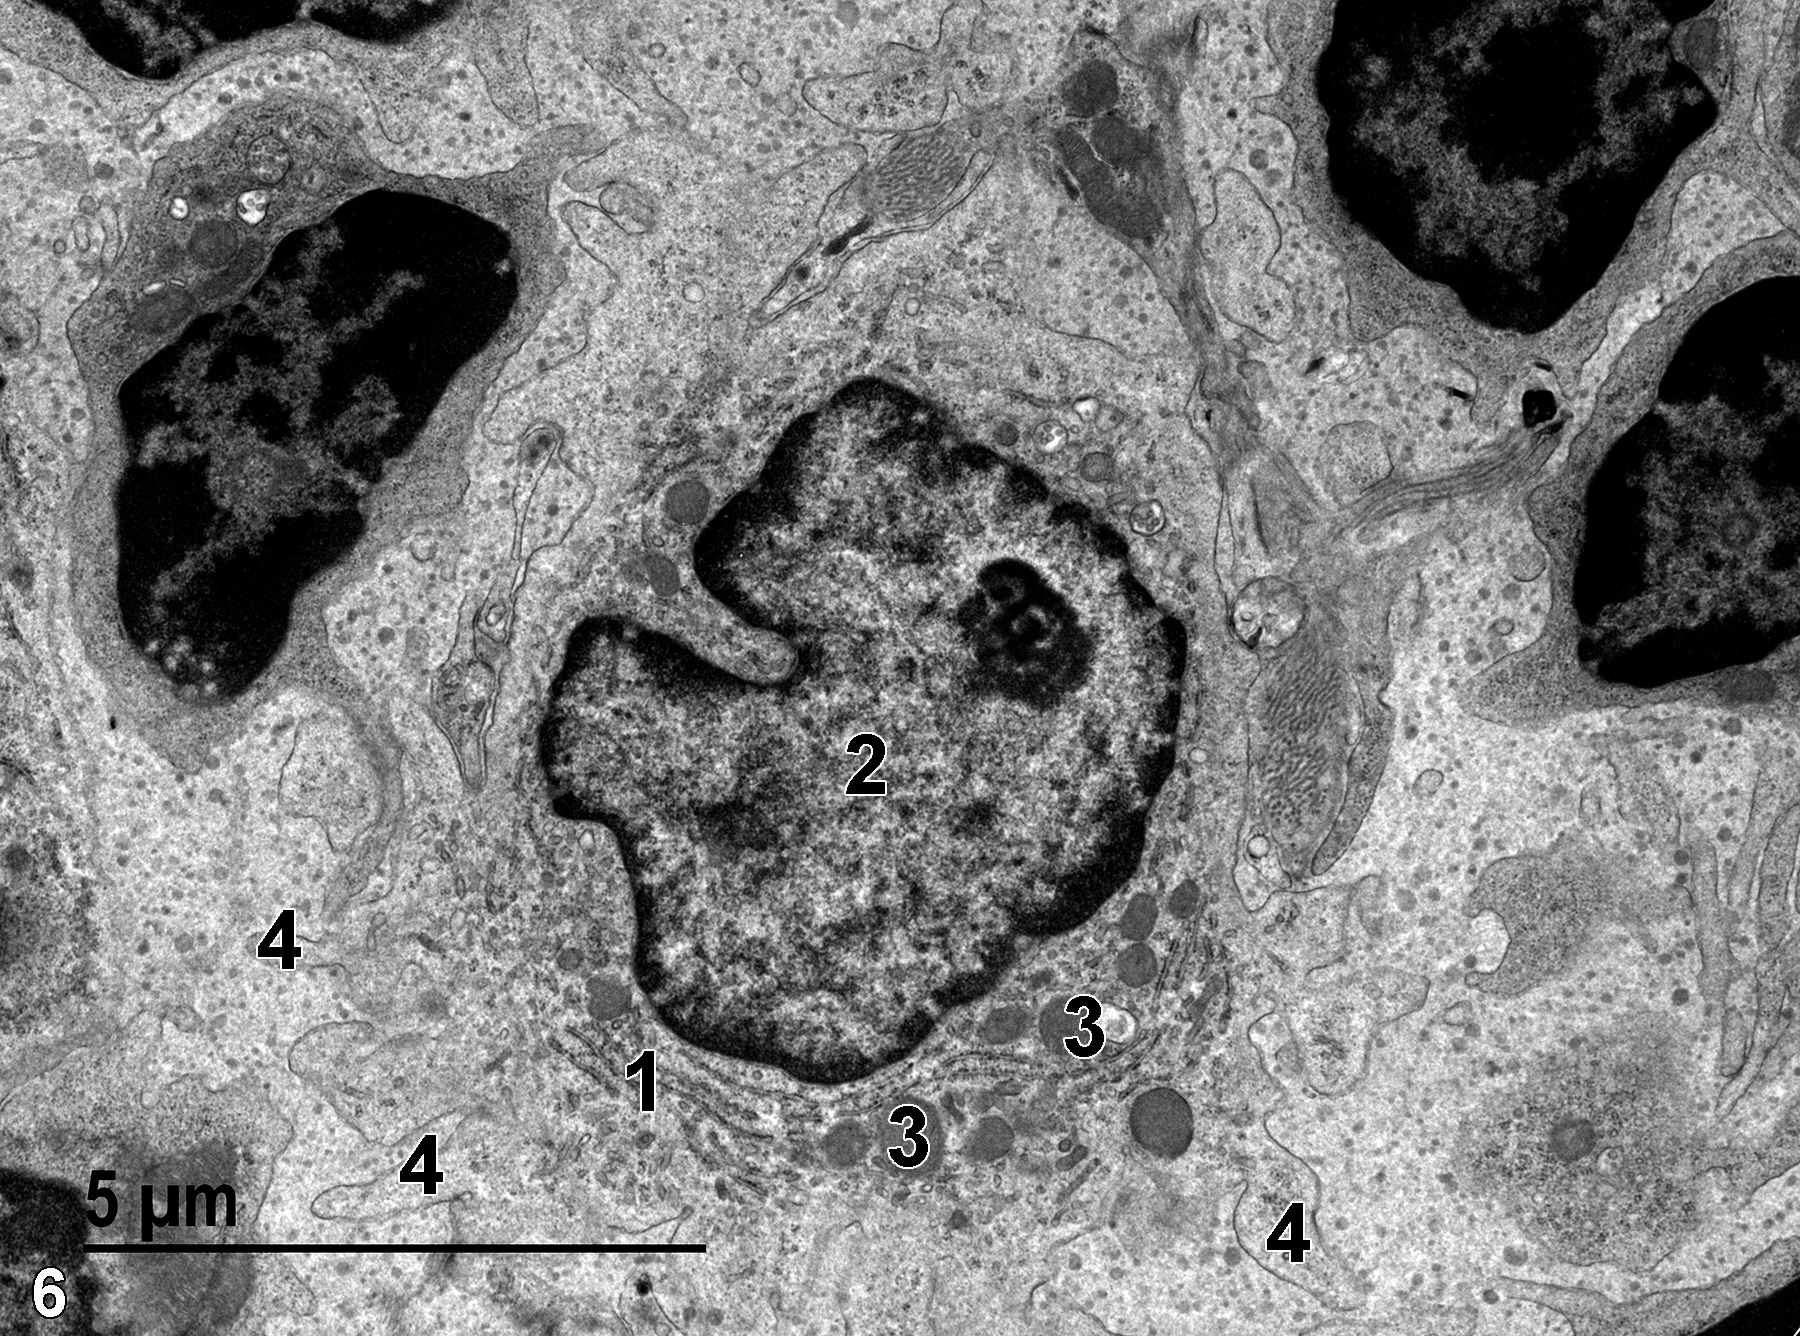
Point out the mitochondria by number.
3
